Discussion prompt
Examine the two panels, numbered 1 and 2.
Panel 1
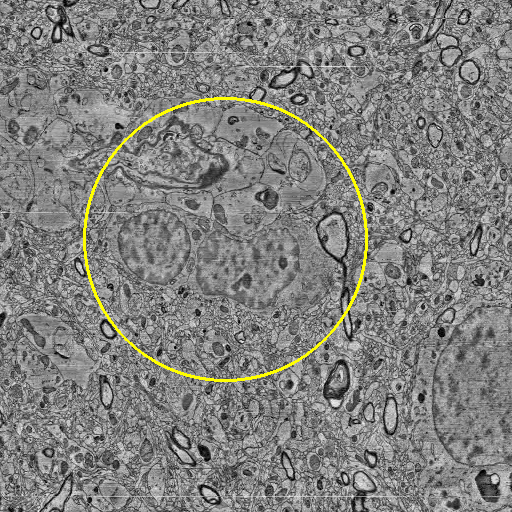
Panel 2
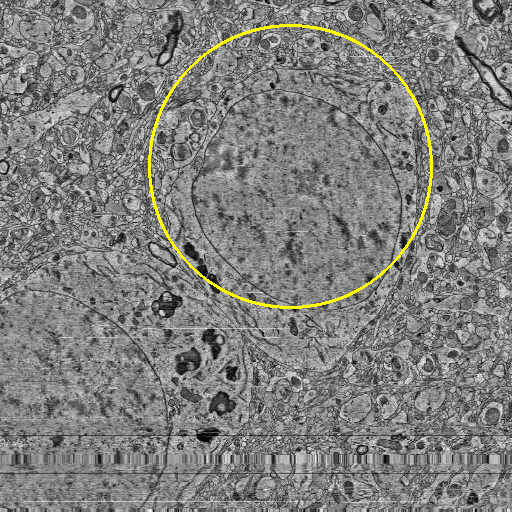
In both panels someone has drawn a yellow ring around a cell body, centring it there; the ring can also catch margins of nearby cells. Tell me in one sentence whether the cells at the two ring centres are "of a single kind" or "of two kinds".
Taken together, the two cells centred in the rings of Panels 1 and 2 are of two kinds.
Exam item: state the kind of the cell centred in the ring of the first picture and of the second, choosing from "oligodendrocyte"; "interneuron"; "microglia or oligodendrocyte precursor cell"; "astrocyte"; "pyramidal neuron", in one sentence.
The first picture shows an oligodendrocyte at the ring centre and the second shows a pyramidal neuron.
